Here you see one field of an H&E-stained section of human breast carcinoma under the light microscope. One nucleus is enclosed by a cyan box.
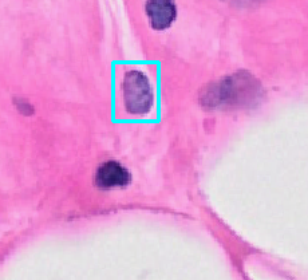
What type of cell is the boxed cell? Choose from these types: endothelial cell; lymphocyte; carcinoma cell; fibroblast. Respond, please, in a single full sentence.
As for its identity, the boxed cell is a lymphocyte.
